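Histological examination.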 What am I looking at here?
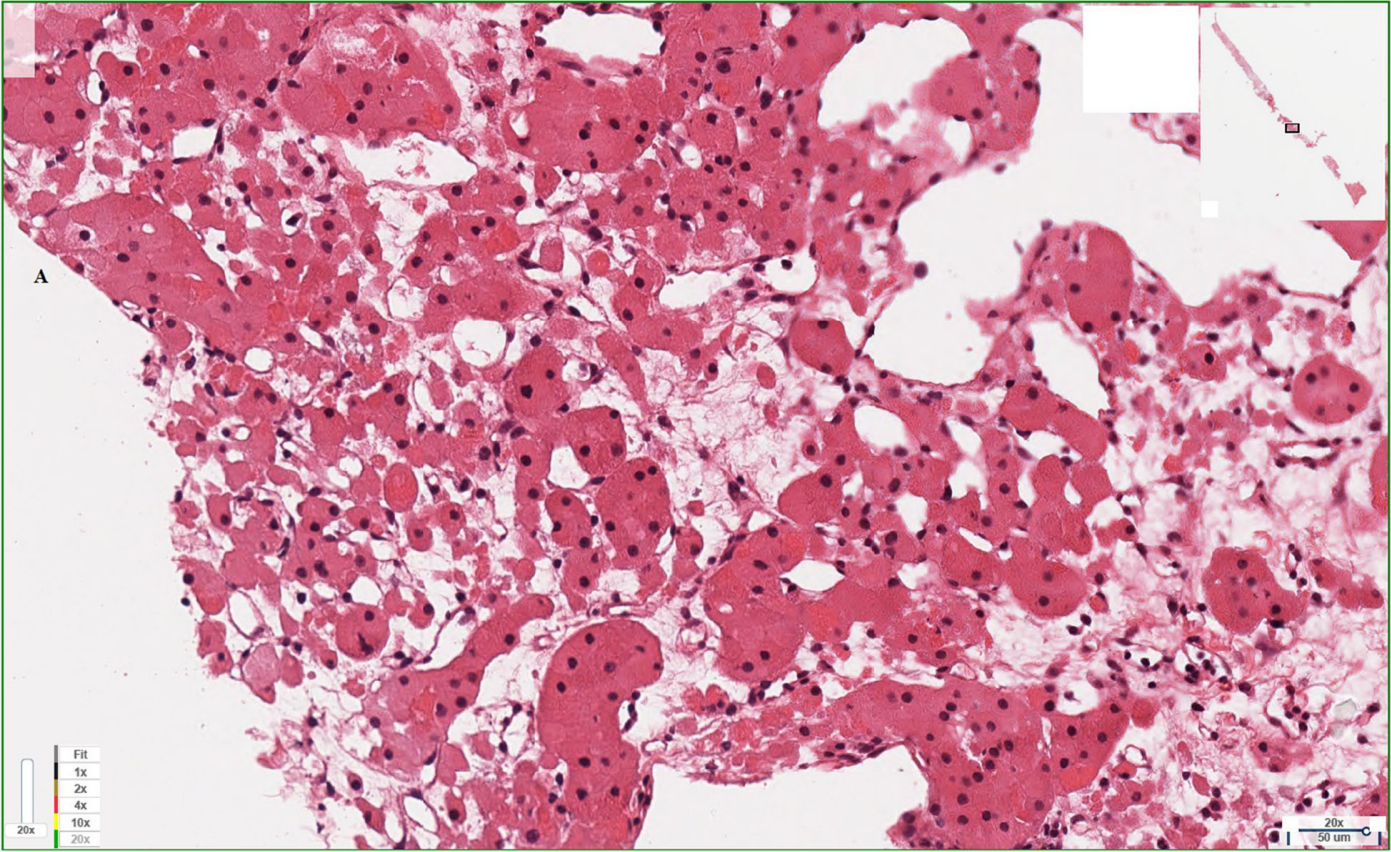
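Small rounded nests and islands of large cells with plentiful, deeply pink, finely granular cytoplasm are scattered through a pale, loose, sparsely nucleated stroma. Each of these cells has a single round, regular, dark nucleus. The stroma between them holds only a few small spindle-shaped nuclei and open spaces. These are oncocytes lying in hypocellular loose connective tissue.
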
